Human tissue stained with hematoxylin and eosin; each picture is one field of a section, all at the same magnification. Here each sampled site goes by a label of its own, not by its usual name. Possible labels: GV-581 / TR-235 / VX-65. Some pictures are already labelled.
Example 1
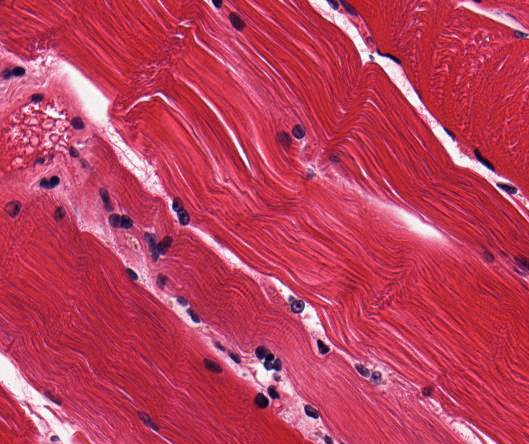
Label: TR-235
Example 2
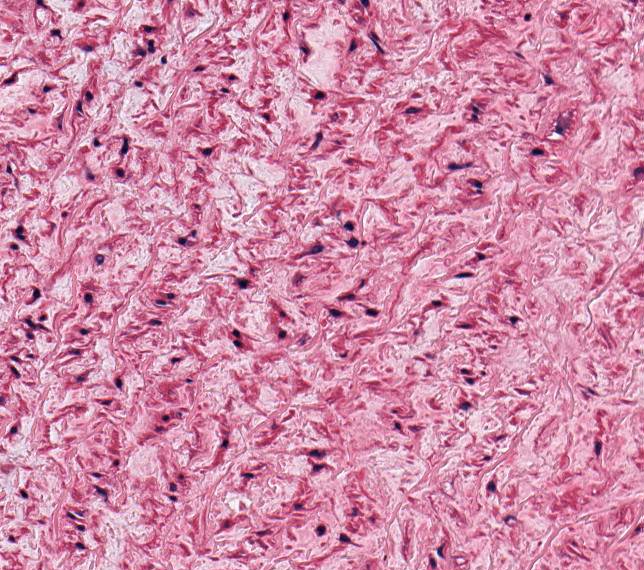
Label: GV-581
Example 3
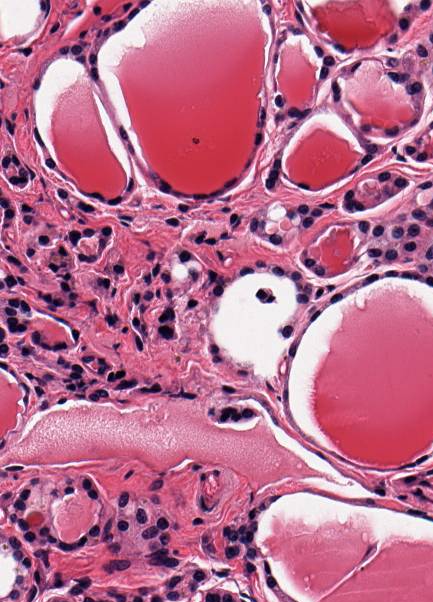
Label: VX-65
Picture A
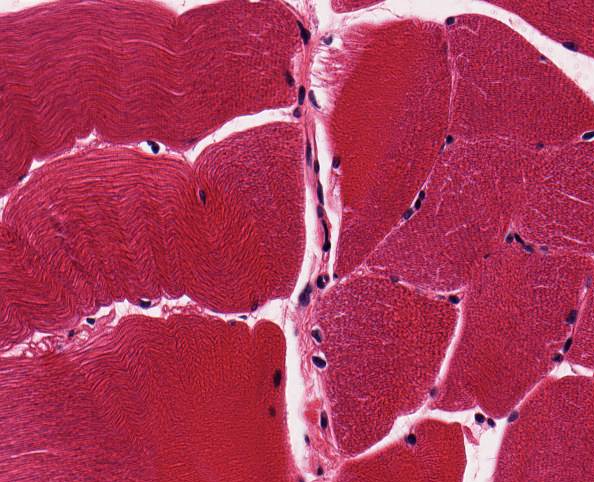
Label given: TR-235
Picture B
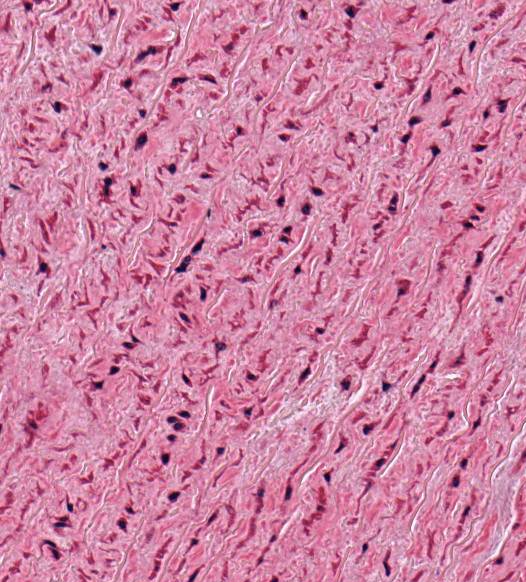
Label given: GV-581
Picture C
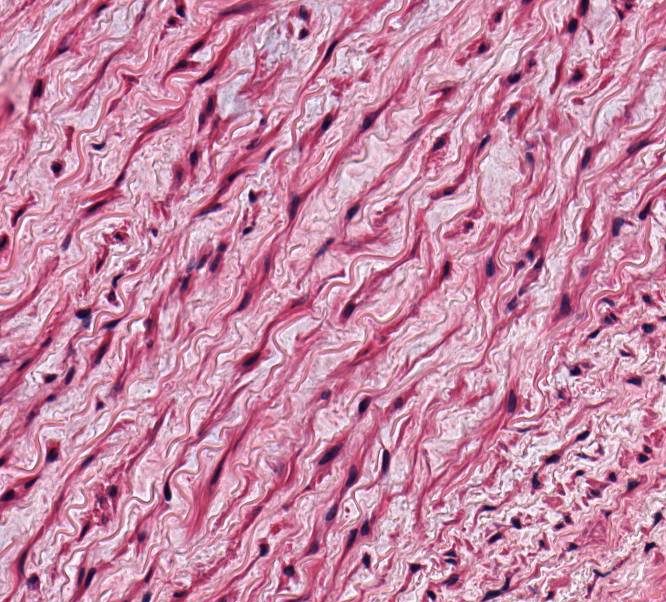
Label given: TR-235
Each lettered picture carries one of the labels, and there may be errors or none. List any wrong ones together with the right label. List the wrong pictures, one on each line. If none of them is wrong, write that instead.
C: change TR-235 to GV-581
